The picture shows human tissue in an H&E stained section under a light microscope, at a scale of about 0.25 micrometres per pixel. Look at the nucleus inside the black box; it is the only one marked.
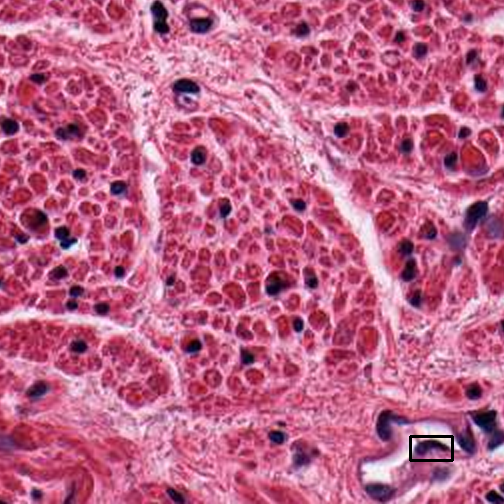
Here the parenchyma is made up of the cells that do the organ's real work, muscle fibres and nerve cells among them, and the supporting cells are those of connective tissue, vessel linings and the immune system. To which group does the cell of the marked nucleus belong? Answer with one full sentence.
The marked nucleus is counted as that of a supporting cell.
